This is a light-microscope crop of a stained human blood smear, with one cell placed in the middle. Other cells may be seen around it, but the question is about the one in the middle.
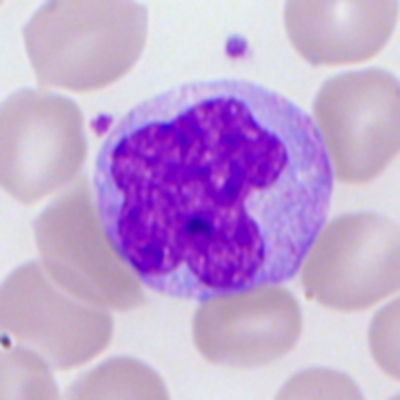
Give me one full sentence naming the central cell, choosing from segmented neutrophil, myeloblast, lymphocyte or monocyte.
As for the central cell, it is a monocyte.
